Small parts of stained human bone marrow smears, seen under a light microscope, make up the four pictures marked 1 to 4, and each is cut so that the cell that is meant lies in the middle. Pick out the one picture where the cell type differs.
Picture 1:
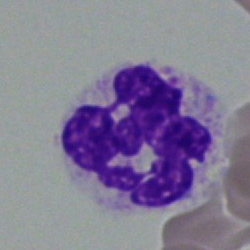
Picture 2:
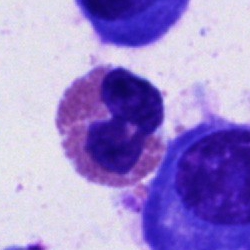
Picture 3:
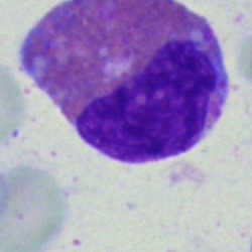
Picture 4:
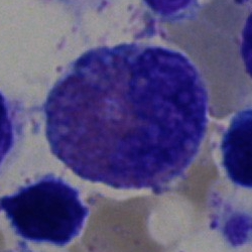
1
